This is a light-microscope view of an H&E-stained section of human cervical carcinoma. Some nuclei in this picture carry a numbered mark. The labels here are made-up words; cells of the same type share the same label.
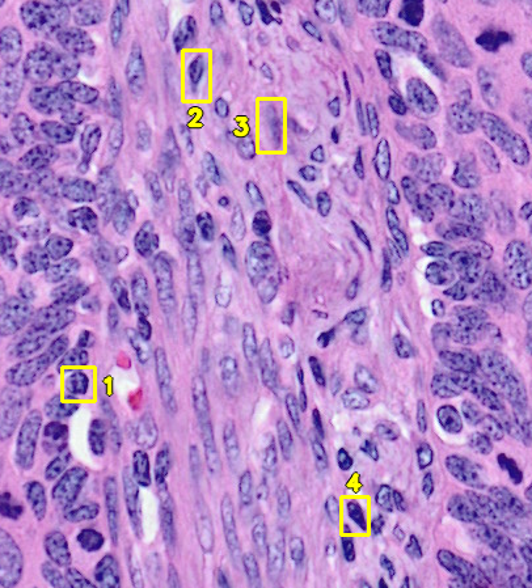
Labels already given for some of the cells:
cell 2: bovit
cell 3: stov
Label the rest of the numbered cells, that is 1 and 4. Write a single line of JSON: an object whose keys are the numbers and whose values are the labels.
{"1": "bovit", "4": "bovit"}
